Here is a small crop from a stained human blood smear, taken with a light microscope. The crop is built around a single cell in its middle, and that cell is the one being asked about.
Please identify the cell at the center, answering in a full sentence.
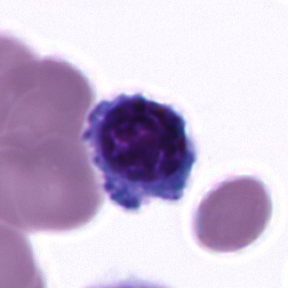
The centrally located cell in the crop is a plasma cell.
